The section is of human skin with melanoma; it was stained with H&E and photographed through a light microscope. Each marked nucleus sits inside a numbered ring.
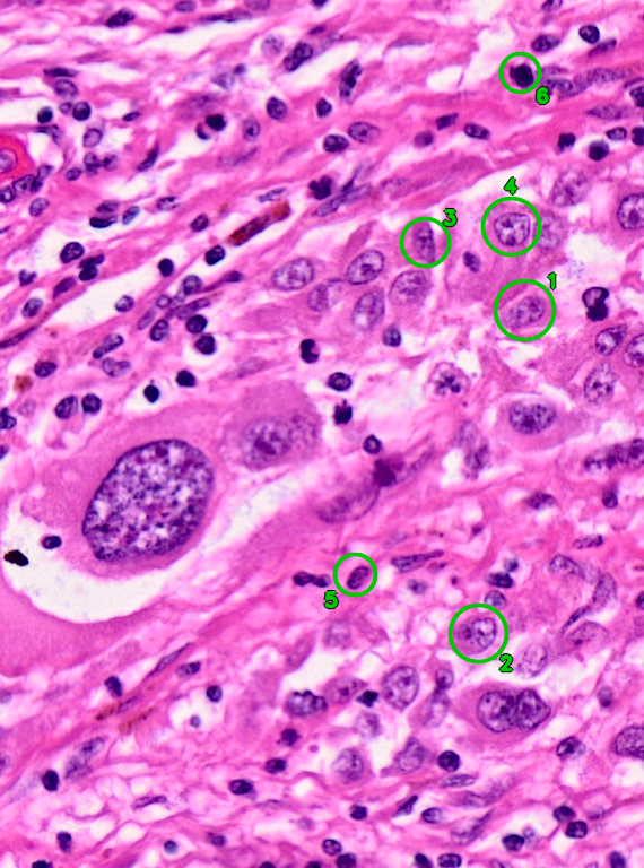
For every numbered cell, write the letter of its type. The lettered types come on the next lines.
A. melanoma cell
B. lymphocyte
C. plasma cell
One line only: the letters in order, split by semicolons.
A; A; A; A; B; B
